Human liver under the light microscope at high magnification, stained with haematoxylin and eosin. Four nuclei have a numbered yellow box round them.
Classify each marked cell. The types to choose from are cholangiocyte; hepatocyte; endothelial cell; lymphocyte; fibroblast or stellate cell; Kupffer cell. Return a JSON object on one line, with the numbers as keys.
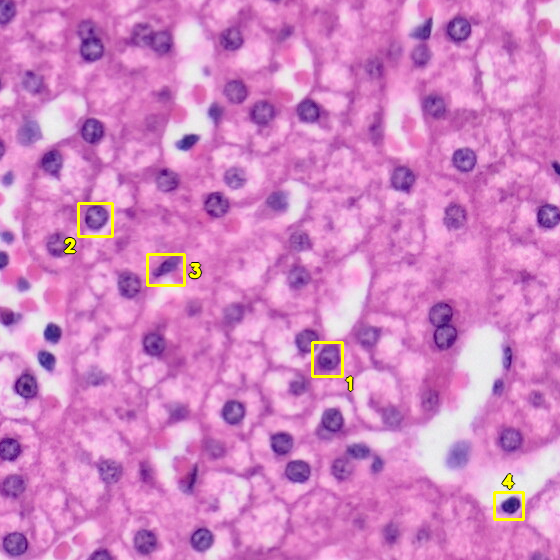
{"1": "hepatocyte", "2": "hepatocyte", "3": "fibroblast or stellate cell", "4": "lymphocyte"}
